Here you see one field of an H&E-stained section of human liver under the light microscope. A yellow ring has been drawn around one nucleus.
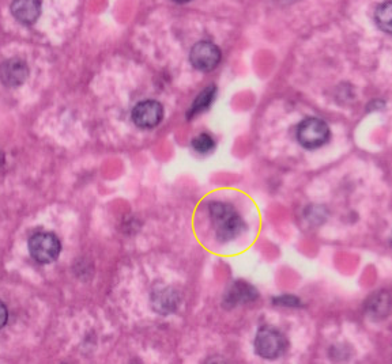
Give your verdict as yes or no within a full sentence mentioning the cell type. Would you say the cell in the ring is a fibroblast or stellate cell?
No, the cell in the ring is recorded as a Kupffer cell instead of a fibroblast or stellate cell.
